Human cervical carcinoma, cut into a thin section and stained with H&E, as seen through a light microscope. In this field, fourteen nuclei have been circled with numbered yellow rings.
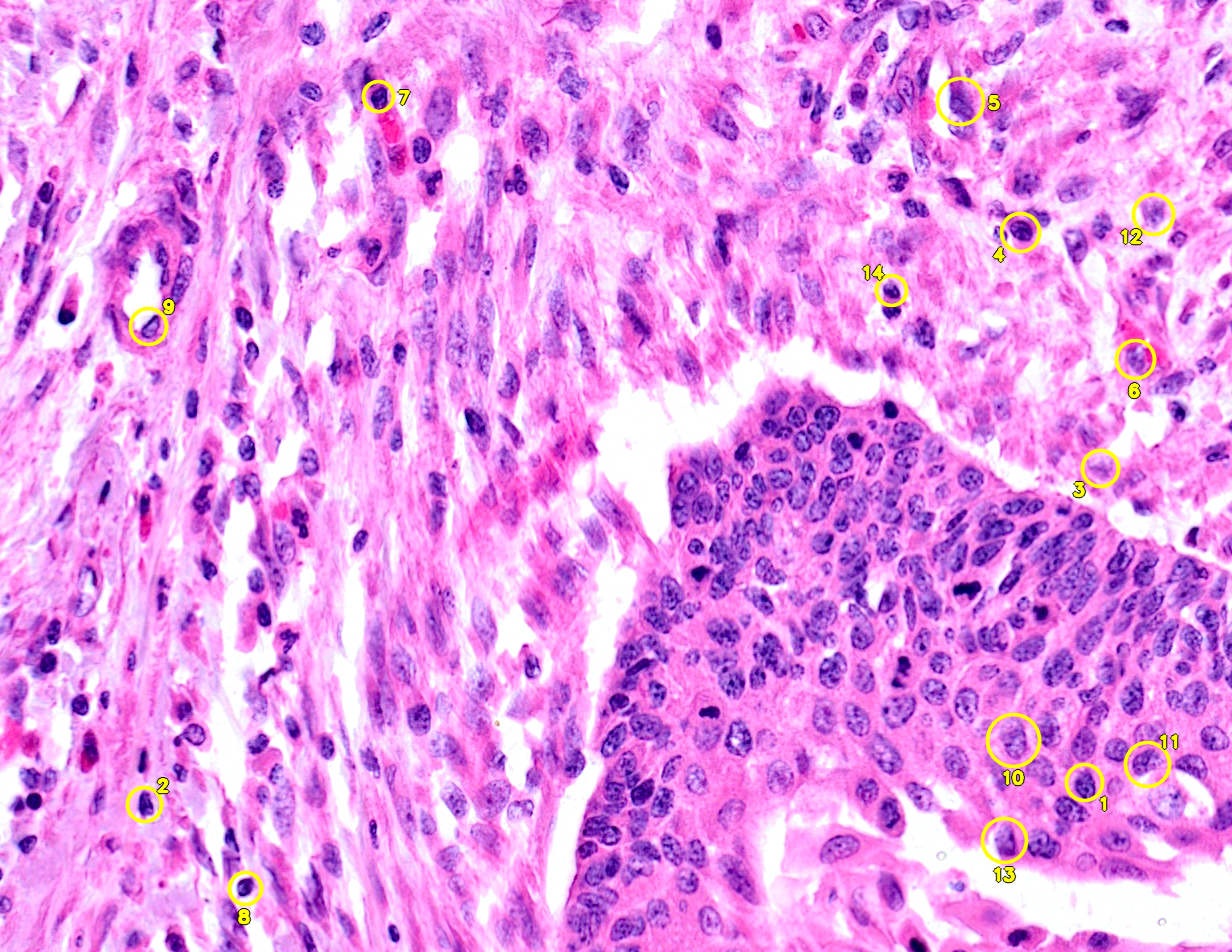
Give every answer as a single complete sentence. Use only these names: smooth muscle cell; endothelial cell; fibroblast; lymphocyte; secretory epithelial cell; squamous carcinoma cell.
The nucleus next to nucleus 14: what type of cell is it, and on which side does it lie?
Just below nucleus 14 lies the nearest nucleus, which belongs to a lymphocyte.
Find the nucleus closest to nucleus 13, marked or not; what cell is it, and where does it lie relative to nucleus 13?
The nearest nucleus is that of a squamous carcinoma cell and lies to the right of nucleus 13.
